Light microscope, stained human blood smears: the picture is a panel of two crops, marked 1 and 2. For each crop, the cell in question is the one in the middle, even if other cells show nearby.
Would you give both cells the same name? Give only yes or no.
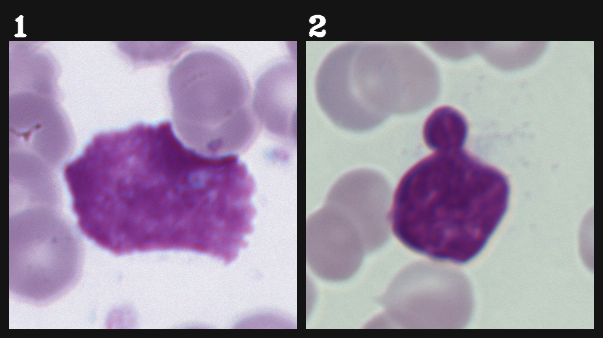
yes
